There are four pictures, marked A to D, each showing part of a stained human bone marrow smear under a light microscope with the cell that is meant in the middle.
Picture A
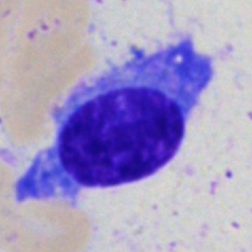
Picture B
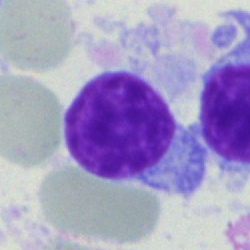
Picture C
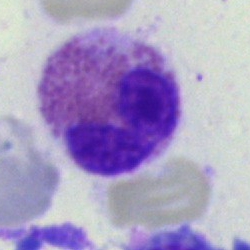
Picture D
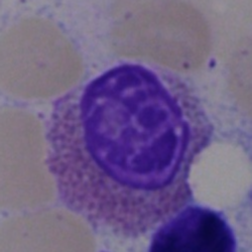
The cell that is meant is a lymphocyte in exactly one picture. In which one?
B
